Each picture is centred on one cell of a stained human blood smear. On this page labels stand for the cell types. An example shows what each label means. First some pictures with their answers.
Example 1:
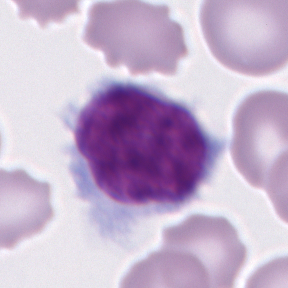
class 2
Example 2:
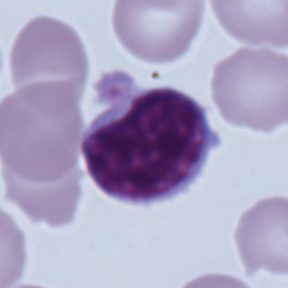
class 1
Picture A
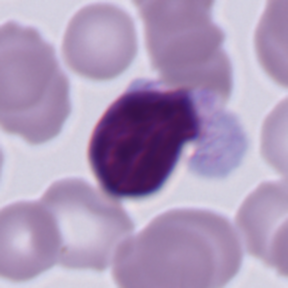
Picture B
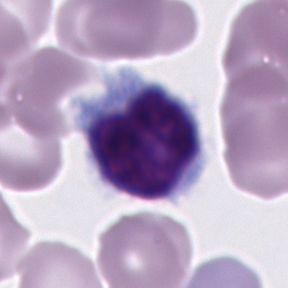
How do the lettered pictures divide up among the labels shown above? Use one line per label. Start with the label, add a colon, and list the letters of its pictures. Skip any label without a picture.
class 2: B
class 1: A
